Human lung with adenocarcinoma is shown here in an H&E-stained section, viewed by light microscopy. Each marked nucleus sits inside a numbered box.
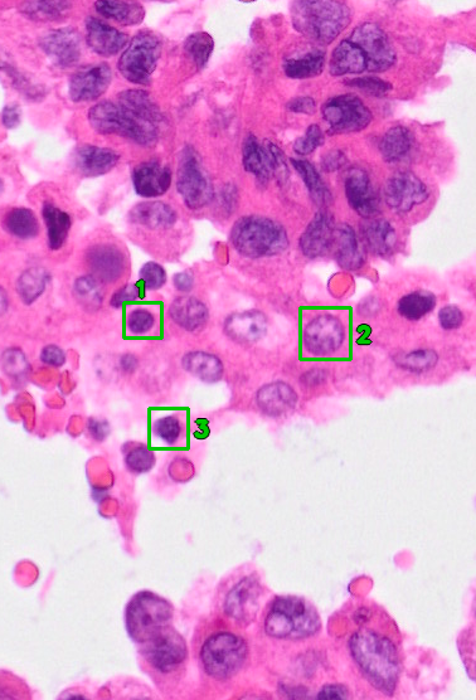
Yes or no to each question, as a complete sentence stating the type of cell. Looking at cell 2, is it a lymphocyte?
No, cell 2 is not a lymphocyte: it is a macrophage or monocyte.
